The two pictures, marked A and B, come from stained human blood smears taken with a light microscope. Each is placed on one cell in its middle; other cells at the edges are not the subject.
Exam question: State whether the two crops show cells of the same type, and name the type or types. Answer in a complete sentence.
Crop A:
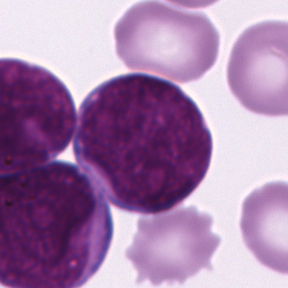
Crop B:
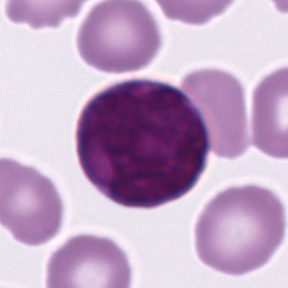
Yes, both crops show myeloblasts, and that holds for each one.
